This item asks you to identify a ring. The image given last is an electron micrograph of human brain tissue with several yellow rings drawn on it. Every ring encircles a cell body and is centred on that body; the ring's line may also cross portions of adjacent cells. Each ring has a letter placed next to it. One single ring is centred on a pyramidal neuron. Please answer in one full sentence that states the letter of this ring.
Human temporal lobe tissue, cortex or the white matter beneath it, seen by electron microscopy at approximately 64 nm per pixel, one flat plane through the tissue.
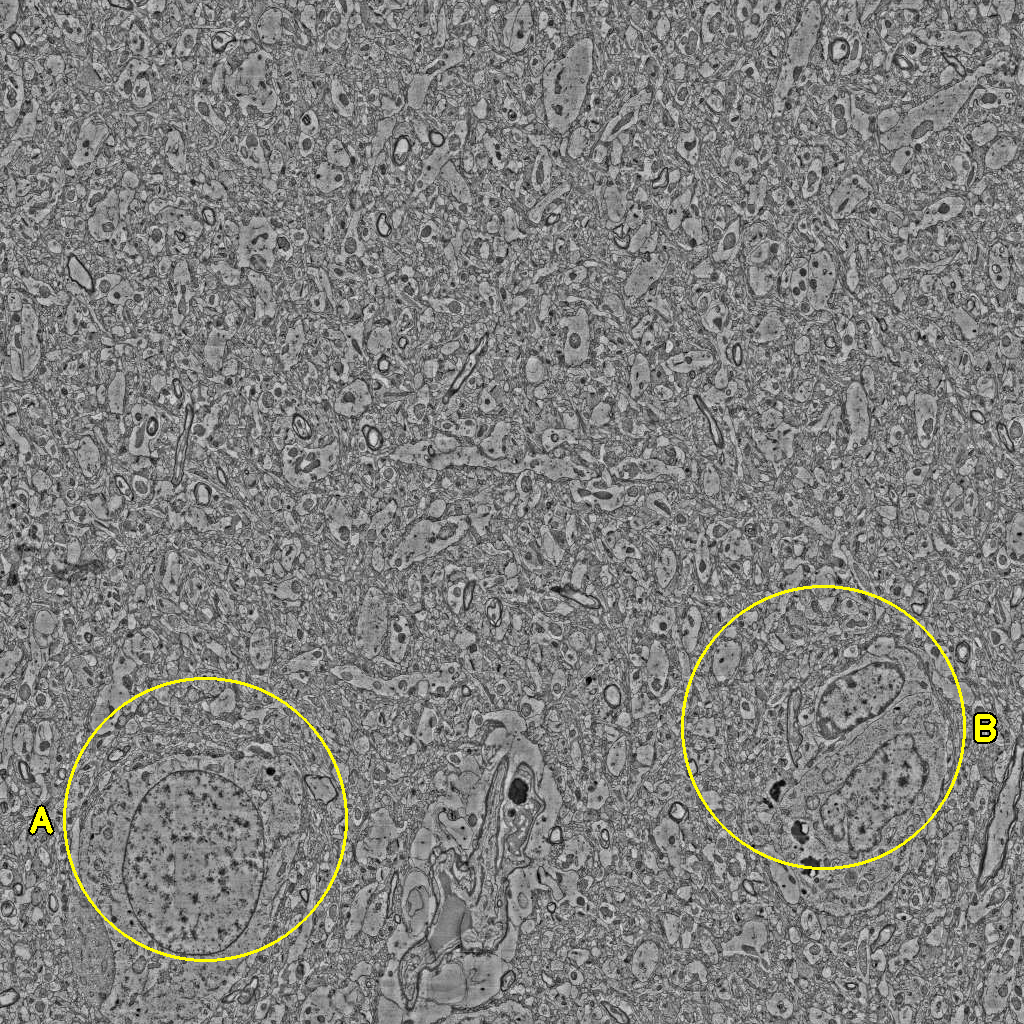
My answer is letter A, the ring centred on the cell asked for.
